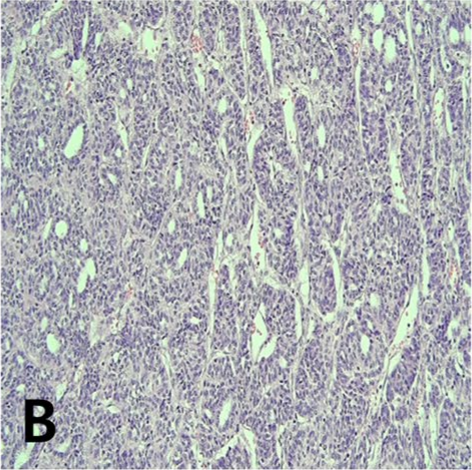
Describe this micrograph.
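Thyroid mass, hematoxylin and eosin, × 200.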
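The cells are arranged in rounded nests, elongated cords and broader solid sheets, with hardly any colloid-filled follicles to be seen. Thin pale pink strands of connective tissue carrying small, slit-like or rounded empty vascular spaces run between the cell groups and divide the tumor into islands. Only a few red blood cells are visible within the vessels. The overall picture is of a closely packed tumor in which the usual follicular architecture of the gland has been lost.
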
